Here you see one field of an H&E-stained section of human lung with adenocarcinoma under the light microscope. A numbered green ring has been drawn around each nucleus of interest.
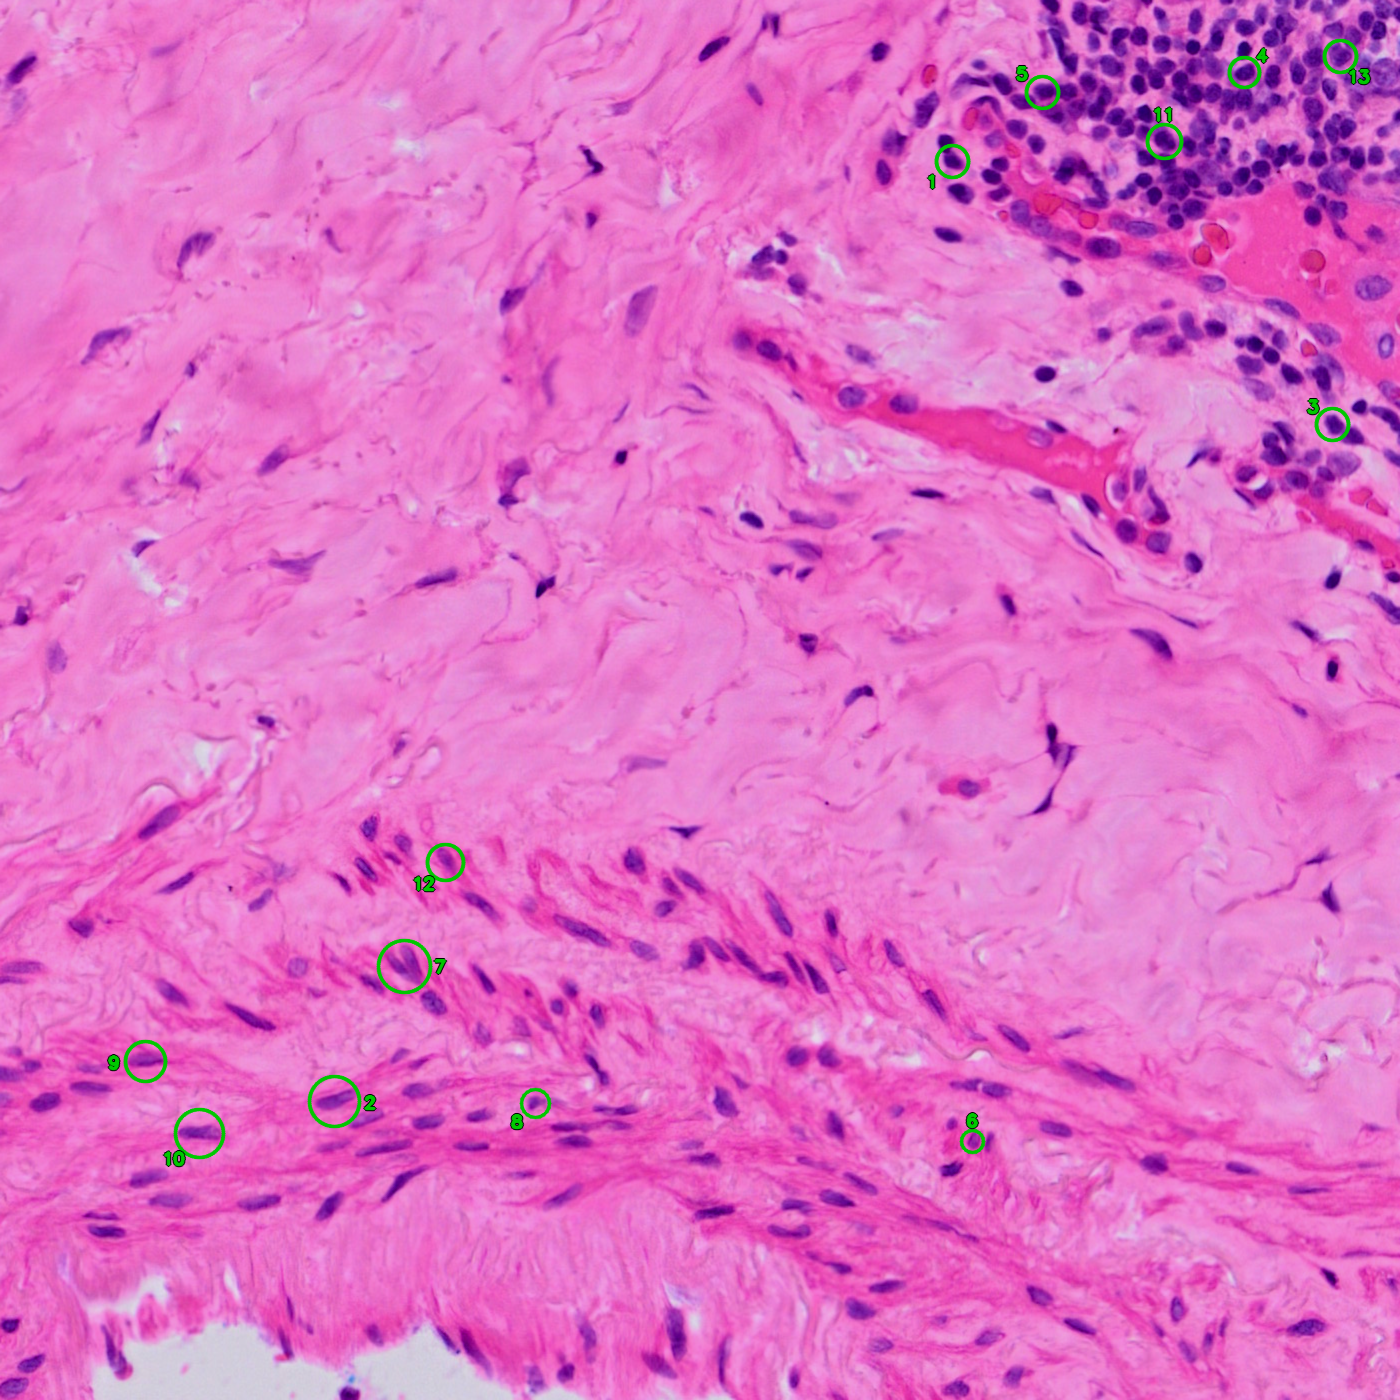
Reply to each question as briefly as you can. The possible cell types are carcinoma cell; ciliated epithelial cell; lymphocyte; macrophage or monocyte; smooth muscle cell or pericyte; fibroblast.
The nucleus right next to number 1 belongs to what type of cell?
lymphocyte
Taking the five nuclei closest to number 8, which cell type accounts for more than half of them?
smooth muscle cell or pericyte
